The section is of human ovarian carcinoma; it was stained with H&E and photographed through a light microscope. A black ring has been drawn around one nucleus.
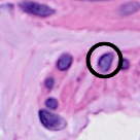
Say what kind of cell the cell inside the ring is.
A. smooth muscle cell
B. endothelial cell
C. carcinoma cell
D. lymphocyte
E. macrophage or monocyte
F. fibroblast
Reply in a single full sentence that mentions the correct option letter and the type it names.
Answer with option A; the cell inside the ring is a smooth muscle cell.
